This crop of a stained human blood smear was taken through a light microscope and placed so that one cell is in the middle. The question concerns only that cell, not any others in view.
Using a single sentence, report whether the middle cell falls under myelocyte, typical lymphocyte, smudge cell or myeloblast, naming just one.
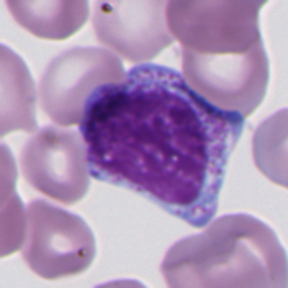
The cell found in the middle of this crop is a myelocyte.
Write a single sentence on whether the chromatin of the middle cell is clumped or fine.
Chromatin texture is fine, and coarse clumps are absent.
